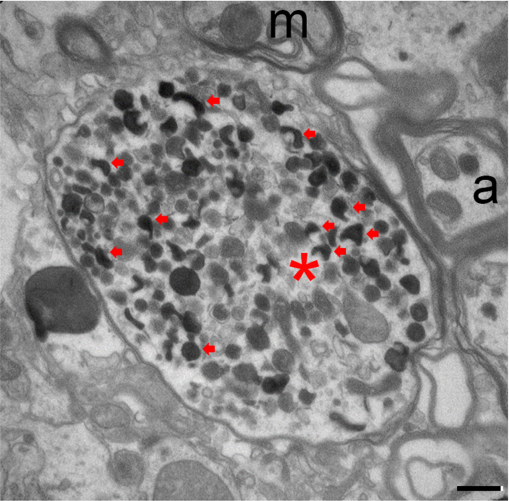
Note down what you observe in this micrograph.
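A large oval degenerating axon fills the centre of the field, packed with numerous small, very dark, round to crescent-shaped dense bodies set in a paler matrix. It is bordered by a thin membrane and surrounded by neuropil with myelinated fibres, one of which at the top contains mitochondria.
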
